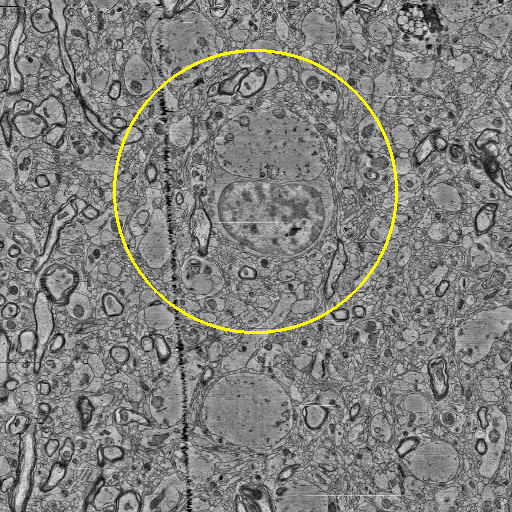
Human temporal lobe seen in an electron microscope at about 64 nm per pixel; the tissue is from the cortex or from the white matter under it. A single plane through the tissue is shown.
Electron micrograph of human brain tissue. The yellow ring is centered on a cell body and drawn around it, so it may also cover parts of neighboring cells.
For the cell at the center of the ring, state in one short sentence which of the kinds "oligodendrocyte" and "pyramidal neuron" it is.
This ring is centered on an oligodendrocyte.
